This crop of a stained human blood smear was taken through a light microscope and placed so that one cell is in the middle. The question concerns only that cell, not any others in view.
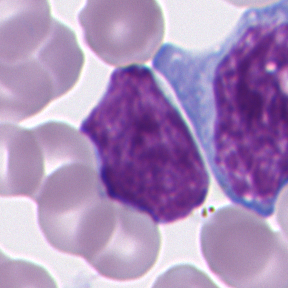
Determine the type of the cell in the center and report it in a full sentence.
The centrally located cell in the crop is a typical lymphocyte.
